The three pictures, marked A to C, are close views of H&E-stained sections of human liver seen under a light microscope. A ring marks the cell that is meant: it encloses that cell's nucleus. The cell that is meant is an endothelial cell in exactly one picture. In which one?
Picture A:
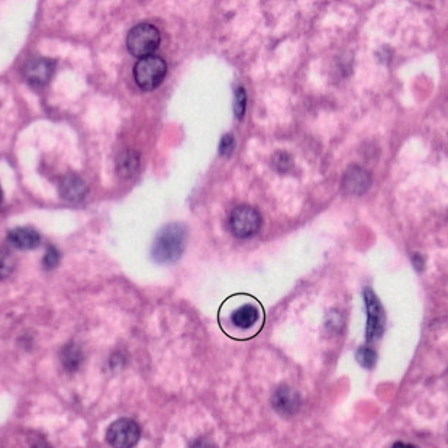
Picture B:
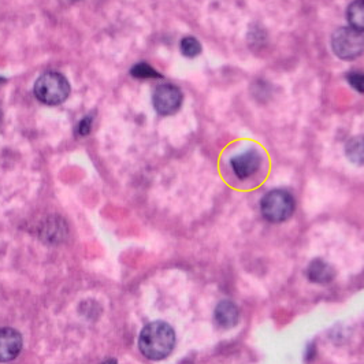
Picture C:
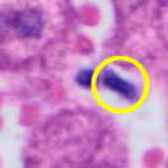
B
